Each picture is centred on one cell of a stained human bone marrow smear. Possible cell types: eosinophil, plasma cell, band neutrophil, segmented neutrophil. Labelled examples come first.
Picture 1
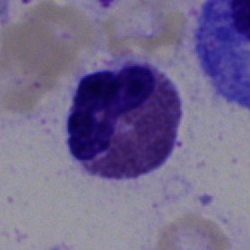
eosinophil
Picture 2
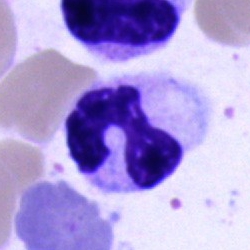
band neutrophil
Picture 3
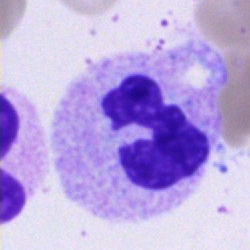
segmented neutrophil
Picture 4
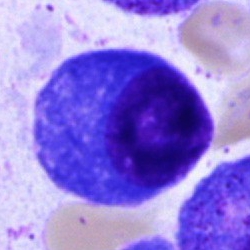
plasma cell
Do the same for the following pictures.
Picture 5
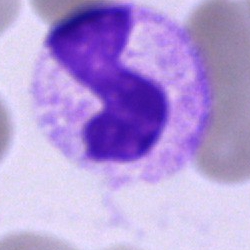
band neutrophil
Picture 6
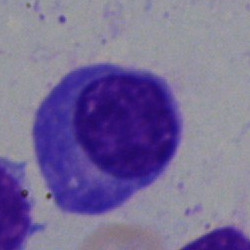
plasma cell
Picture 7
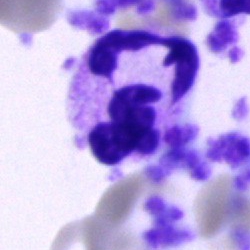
segmented neutrophil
